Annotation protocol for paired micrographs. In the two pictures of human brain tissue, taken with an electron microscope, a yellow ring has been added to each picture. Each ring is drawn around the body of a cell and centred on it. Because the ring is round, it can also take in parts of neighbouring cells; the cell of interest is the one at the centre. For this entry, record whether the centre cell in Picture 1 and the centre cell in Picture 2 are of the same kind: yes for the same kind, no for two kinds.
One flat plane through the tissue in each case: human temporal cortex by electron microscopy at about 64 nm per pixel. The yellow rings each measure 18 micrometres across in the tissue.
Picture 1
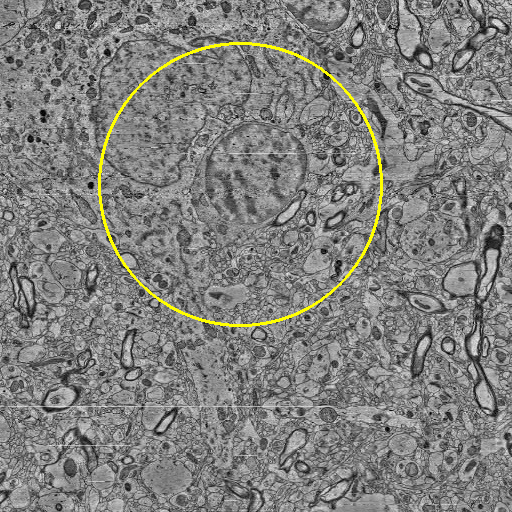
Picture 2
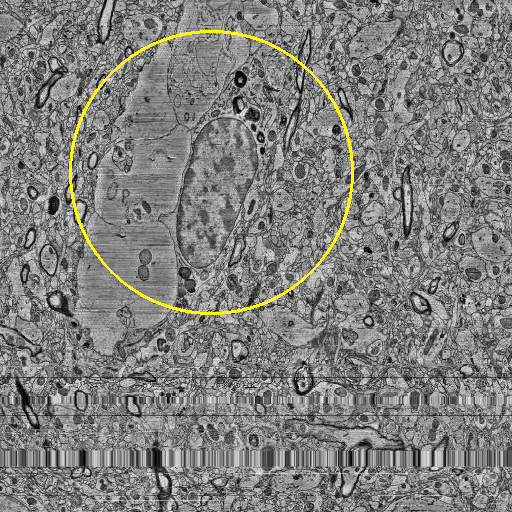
no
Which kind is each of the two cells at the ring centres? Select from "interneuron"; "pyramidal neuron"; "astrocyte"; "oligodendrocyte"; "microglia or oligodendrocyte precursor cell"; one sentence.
The cell at the centre of the ring is an oligodendrocyte in the first picture and a microglial cell or oligodendrocyte precursor cell in the second.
